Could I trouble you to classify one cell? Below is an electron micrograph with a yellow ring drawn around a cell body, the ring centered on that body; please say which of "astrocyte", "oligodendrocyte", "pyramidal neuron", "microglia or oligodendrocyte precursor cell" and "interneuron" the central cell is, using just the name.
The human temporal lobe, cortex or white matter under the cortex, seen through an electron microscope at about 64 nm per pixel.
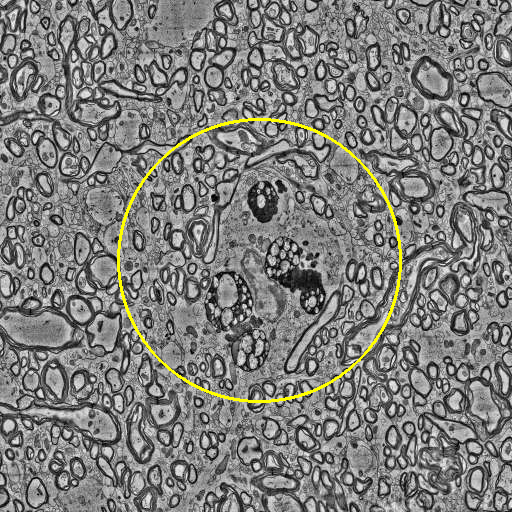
astrocyte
